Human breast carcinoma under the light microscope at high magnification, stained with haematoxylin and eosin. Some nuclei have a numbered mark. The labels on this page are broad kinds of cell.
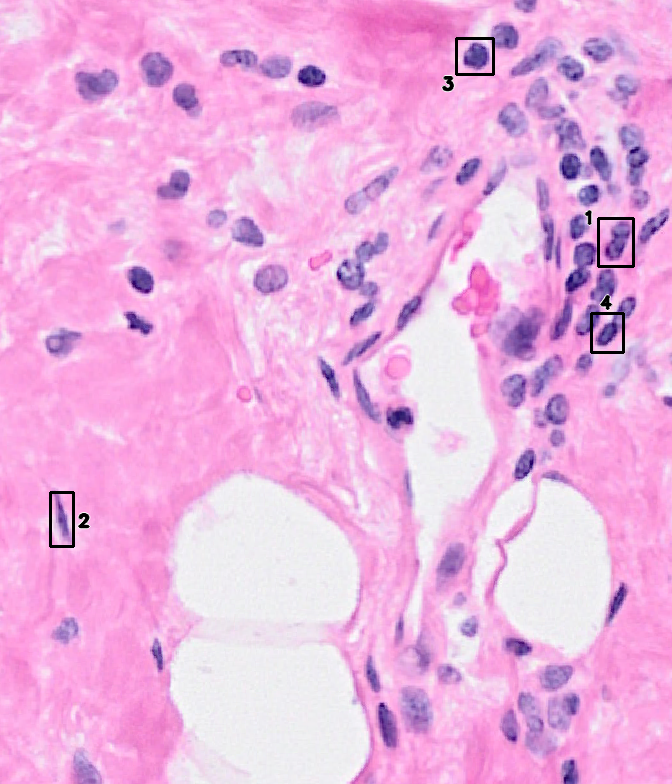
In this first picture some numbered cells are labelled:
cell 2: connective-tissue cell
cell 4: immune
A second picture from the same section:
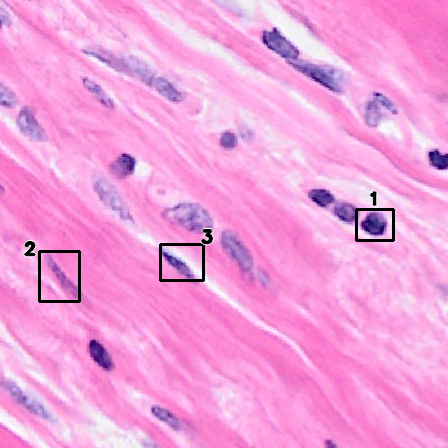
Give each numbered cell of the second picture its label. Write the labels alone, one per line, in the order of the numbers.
immune
connective-tissue cell
connective-tissue cell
